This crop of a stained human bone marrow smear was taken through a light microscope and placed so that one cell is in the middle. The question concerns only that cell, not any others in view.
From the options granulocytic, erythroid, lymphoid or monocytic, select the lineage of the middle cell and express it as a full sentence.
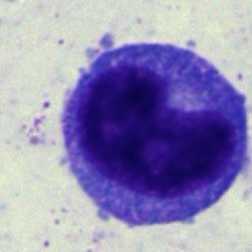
The cell at the center of the crop derives from the monocytic lineage.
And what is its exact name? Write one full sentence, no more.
Whatever else lies nearby, the middle cell is a monocyte.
